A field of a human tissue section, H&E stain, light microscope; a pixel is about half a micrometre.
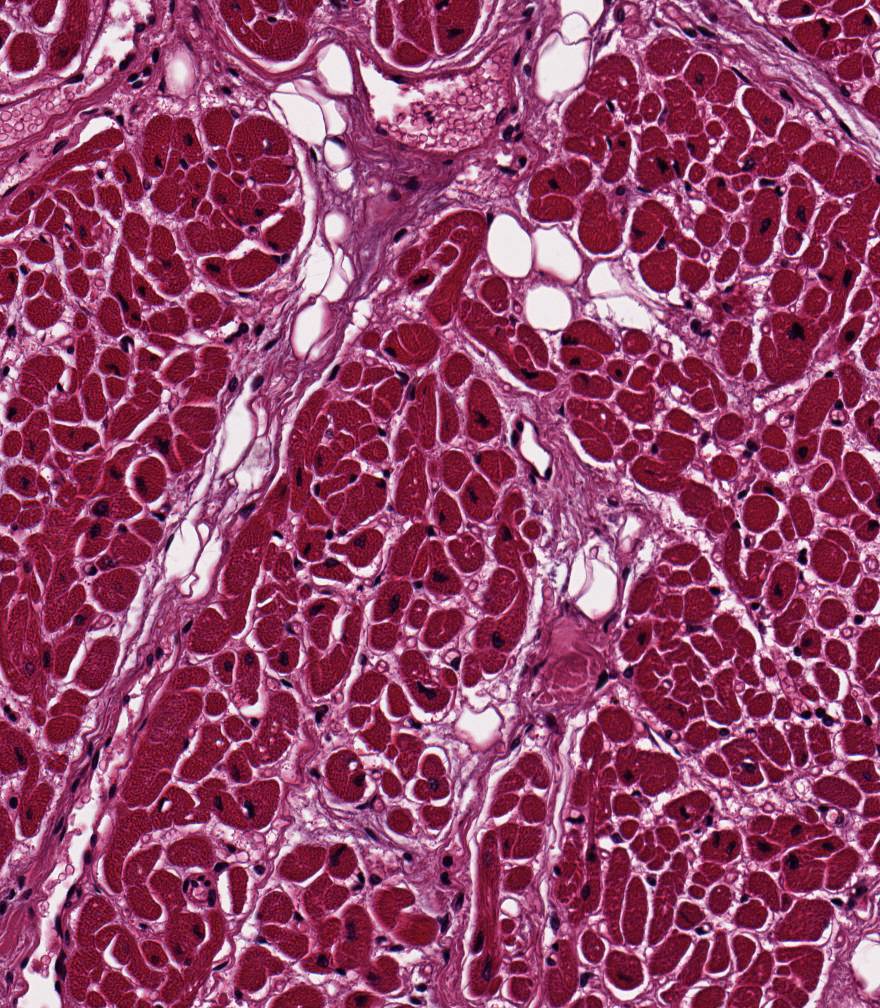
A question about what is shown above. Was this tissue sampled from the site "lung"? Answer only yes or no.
no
